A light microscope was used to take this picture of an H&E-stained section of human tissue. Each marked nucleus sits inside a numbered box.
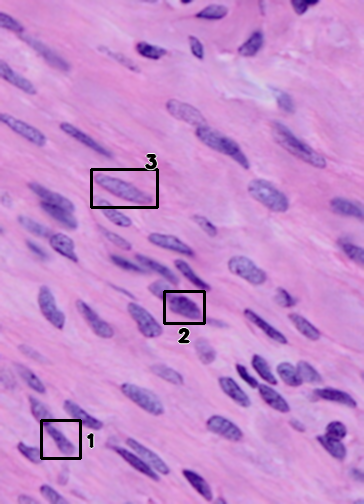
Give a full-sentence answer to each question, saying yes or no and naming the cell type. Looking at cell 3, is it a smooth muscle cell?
Yes, the cell with the mark numbered 3 is a smooth muscle cell.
